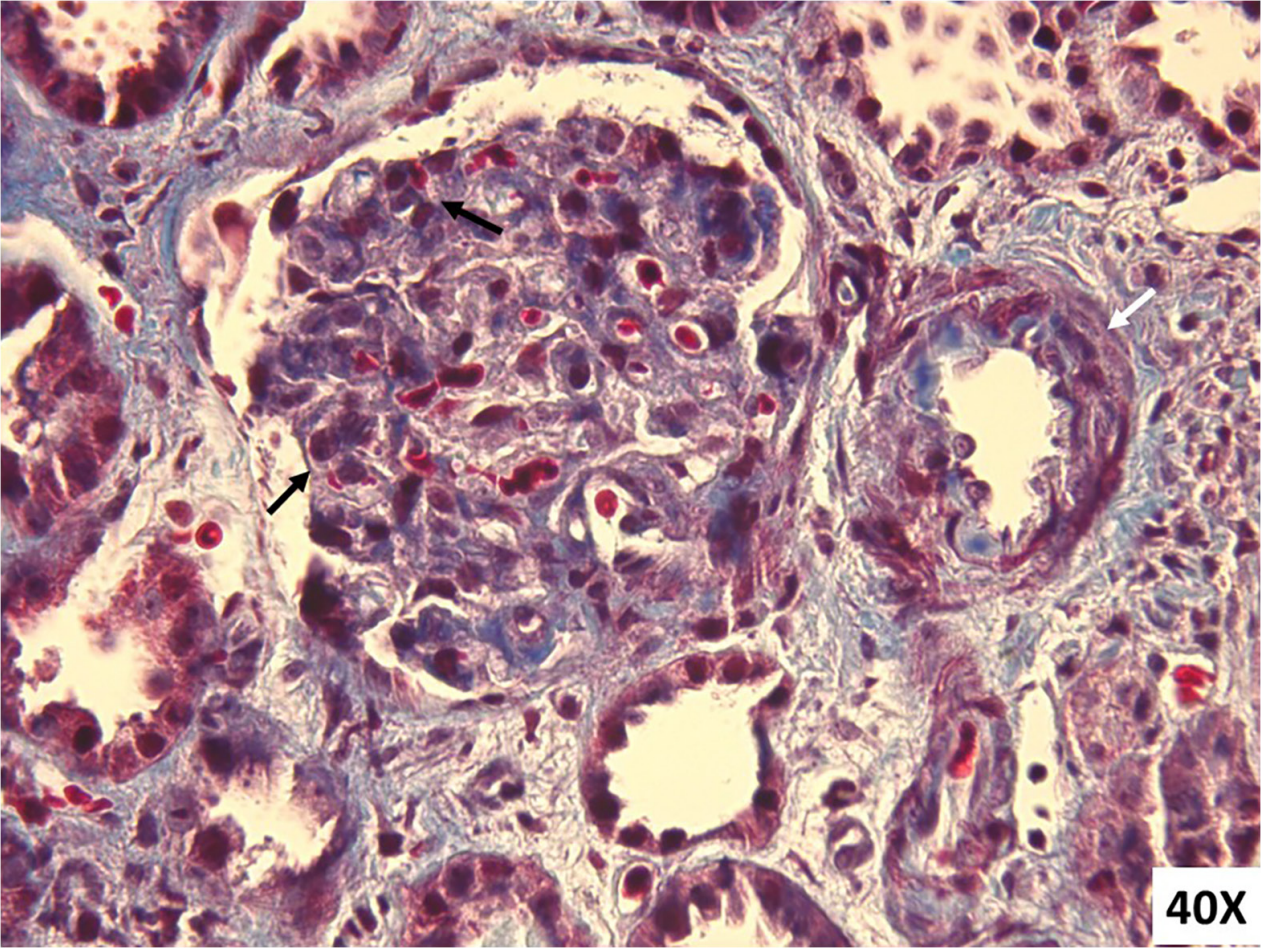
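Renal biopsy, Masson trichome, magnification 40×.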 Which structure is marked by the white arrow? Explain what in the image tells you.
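A small vessel with a clear lumen lies beside the glomerulus. Its wall is made of concentric layers of elongated cells. A rim of blue-green fibrous tissue surrounds the wall.
Hence: Arterioles.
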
